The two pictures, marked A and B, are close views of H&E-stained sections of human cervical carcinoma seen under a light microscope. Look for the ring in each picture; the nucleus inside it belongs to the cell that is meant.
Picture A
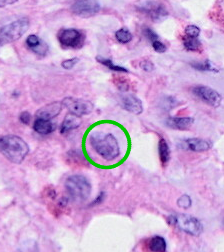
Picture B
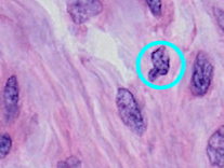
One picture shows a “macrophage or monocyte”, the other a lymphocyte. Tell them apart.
A: macrophage or monocyte
B: lymphocyte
